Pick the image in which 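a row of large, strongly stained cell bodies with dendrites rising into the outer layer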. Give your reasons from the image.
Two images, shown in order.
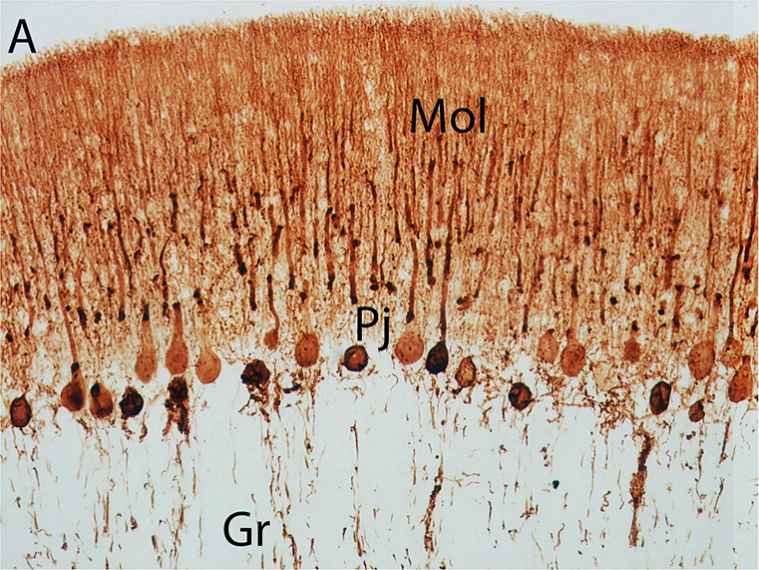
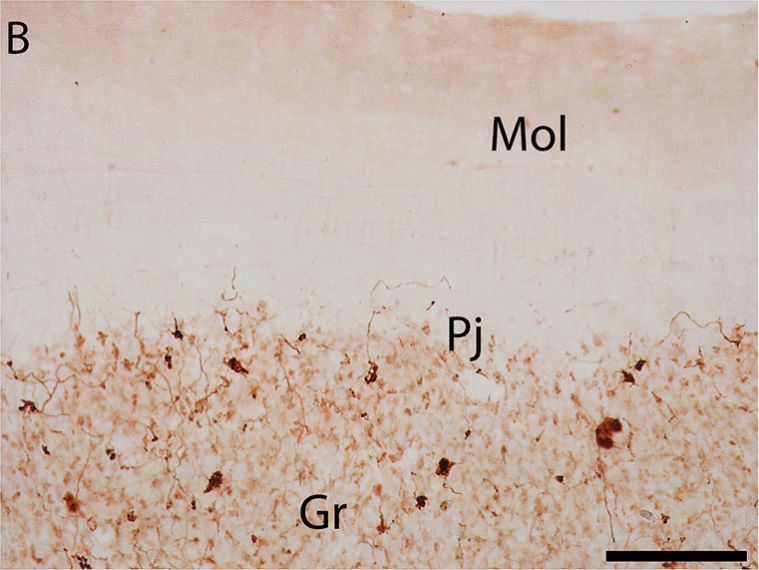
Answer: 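Second image: scattered small stained cell bodies and fine fibers lie mainly in the inner layer, the outer layer is nearly unstained. First image: a continuous row of large dark-brown cell bodies with thick brown dendrites filling the outer layer. That points to this answer: the first image.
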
